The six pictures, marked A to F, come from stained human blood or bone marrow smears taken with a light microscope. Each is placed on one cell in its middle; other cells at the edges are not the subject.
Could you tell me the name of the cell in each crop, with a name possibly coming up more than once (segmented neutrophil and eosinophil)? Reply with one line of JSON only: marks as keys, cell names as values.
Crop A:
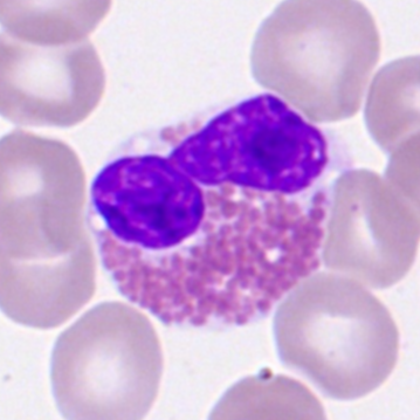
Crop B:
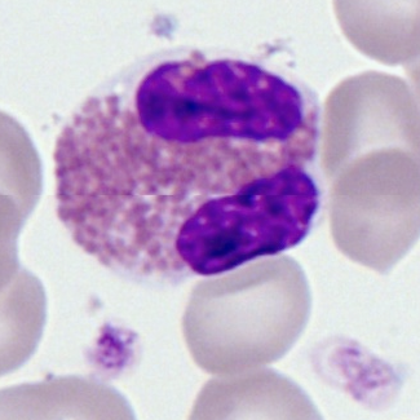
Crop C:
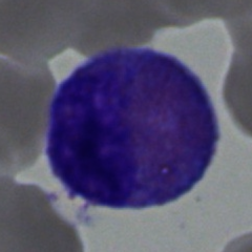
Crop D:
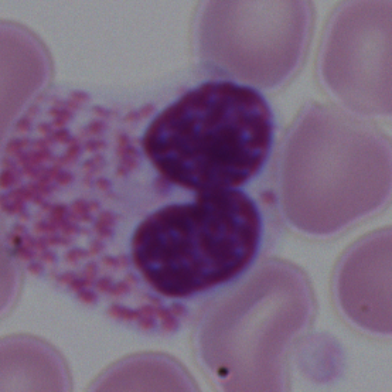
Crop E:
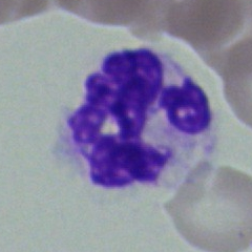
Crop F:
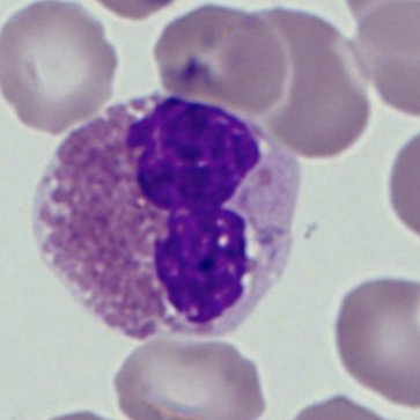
{"A": "eosinophil", "B": "eosinophil", "C": "eosinophil", "D": "eosinophil", "E": "segmented neutrophil", "F": "eosinophil"}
